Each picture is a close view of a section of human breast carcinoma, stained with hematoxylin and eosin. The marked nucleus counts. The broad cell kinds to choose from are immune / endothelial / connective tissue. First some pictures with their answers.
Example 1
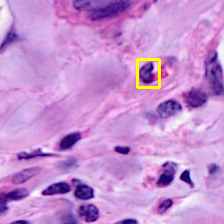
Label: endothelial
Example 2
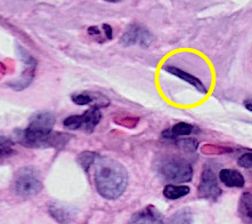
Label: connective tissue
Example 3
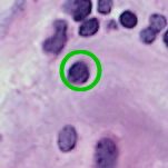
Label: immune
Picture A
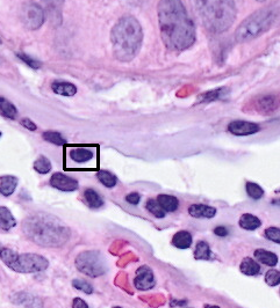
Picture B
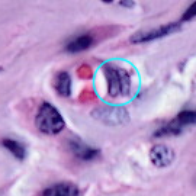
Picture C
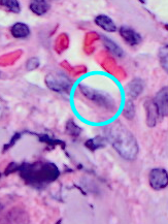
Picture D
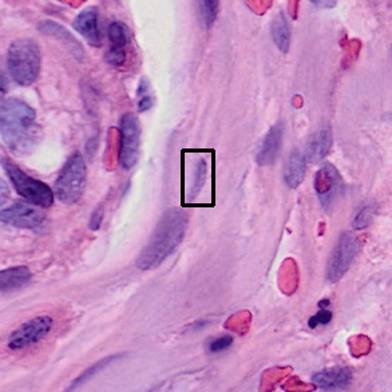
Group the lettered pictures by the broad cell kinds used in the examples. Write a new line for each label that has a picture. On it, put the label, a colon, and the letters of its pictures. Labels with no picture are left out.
immune: A
endothelial: B, C
connective tissue: D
